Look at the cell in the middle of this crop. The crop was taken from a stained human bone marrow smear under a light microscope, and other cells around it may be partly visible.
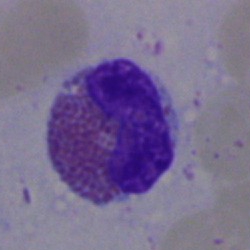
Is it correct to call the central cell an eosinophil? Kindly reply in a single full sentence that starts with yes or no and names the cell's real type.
Yes, the cell shown at the crop's centre is an eosinophil.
